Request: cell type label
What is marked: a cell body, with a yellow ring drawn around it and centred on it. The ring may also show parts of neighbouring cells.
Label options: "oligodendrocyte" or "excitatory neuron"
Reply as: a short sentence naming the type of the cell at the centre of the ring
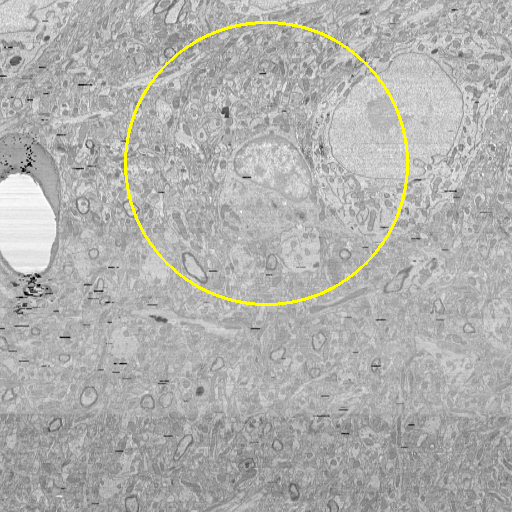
The marked cell body is that of an oligodendrocyte.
